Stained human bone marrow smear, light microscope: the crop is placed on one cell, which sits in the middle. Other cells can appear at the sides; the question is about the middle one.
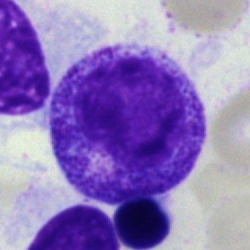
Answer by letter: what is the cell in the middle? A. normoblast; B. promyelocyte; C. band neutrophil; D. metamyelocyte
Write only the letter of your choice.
B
